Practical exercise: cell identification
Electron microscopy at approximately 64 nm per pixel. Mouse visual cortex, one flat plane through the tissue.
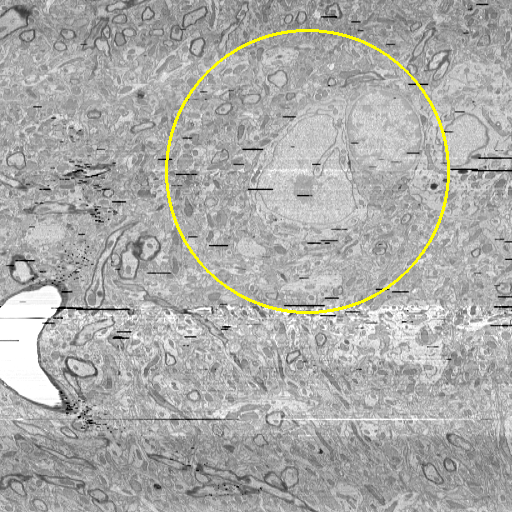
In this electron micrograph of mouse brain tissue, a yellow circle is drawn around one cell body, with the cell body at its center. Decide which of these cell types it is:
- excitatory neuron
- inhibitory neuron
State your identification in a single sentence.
The ringed cell is an inhibitory neuron.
